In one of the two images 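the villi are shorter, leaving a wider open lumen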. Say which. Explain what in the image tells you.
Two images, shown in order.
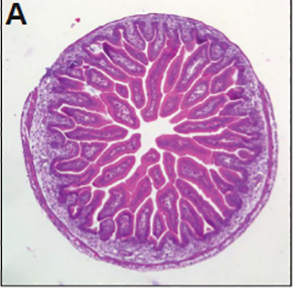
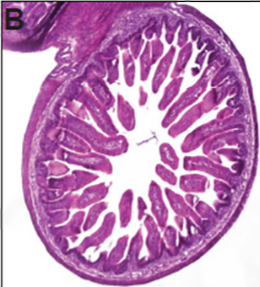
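Second image: the projections stop well short of the center, leaving a broad white lumen. First image: the projections reach nearly to the center, leaving only a small lumen. So: the second image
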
